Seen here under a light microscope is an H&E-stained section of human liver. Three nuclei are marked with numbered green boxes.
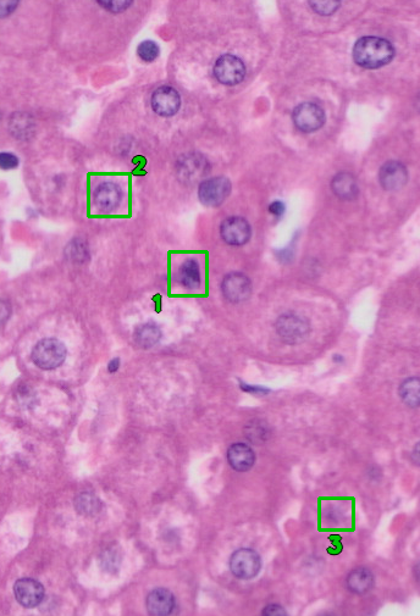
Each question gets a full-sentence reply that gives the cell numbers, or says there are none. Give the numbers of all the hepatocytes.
Cells 2 and 3 share one type; they are hepatocytes.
